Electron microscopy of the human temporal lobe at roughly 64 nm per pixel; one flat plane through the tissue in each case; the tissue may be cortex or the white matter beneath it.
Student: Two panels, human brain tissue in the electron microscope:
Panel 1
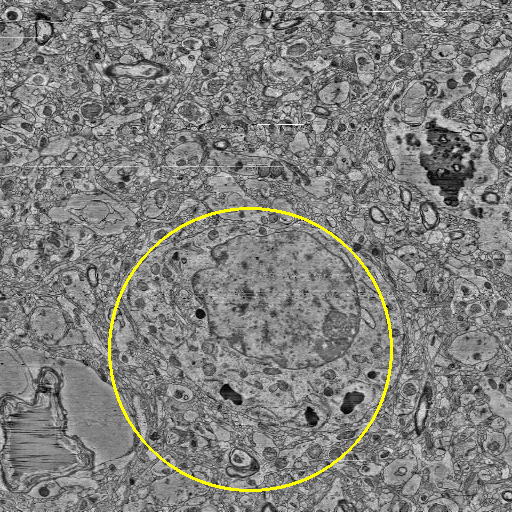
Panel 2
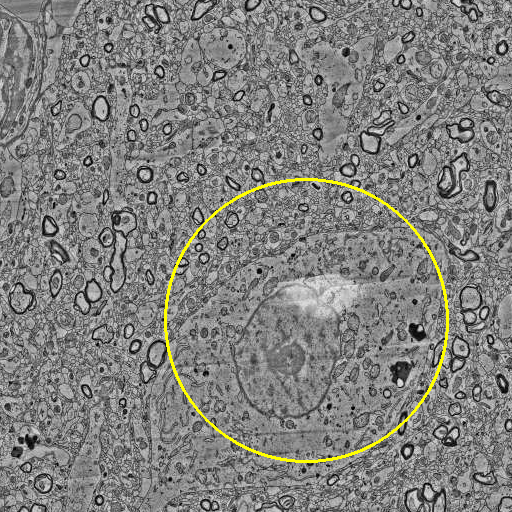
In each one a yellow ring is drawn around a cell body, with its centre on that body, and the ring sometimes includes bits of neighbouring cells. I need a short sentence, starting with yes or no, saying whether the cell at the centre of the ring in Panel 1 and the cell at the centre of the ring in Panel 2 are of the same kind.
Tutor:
No, they are two kinds of cell.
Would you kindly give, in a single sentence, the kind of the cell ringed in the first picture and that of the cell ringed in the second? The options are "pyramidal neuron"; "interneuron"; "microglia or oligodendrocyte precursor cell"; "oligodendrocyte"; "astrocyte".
The second cell is a pyramidal neuron, and the first cell is an interneuron.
